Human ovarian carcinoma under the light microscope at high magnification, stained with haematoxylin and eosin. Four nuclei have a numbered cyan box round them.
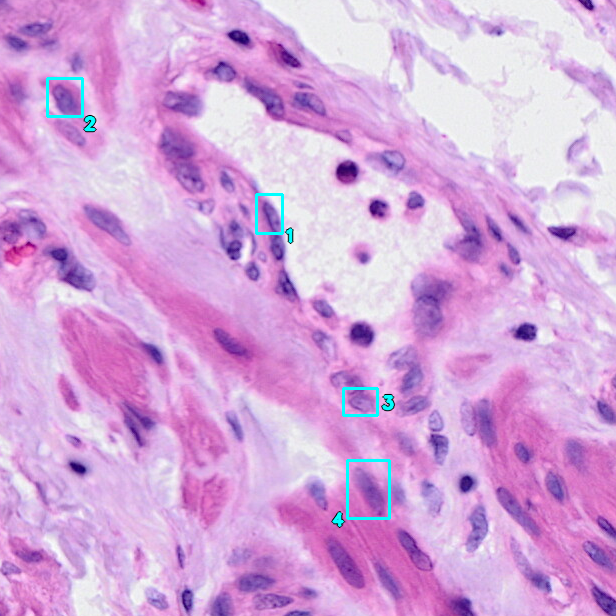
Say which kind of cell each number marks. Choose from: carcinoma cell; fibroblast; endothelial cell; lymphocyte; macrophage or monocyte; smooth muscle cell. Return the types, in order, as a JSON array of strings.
["endothelial cell", "smooth muscle cell", "endothelial cell", "smooth muscle cell"]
